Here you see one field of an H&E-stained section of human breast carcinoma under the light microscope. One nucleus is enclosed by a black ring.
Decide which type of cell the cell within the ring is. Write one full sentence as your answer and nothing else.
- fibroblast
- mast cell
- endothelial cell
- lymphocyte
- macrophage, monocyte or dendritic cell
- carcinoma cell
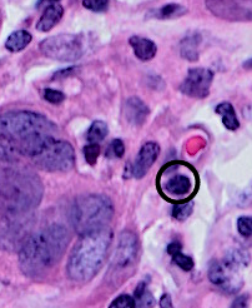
In this field of tissue, the cell within the ring is a lymphocyte.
